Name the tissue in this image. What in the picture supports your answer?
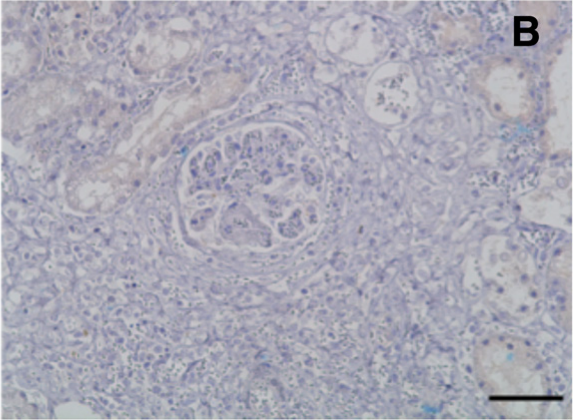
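A glomerulus with a capillary tuft inside a capsule lies near the centre. Tubules with pale cytoplasm and lumens surround it. Cellular interstitium lies between the tubules.
Hence: renal cortex.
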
